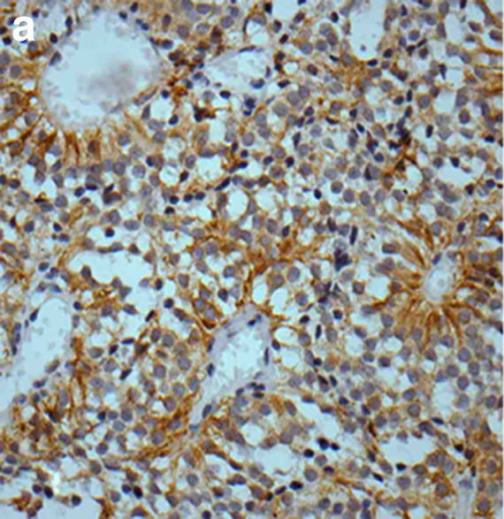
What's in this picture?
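Densely packed tumor cells with small, round to oval, blue-purple nuclei and scant cytoplasm fill the field. Several pale, round spaces lie among them, and the cells around these spaces are arranged radially, like spokes. Brown stain lies in streaks of cytoplasm between the nuclei, and it gathers most strongly on the sides of the cells that face the central spaces, forming brown rays that point toward them. Between these groups the stain is patchier and forms a loose brown network. These are tumor cells crowded around blood vessels, with their stained cytoplasm polarized towards the vessel lumen.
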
